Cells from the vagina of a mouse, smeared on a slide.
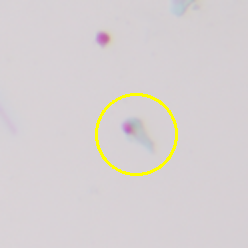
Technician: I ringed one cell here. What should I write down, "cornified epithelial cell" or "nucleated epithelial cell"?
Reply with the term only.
nucleated epithelial cell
